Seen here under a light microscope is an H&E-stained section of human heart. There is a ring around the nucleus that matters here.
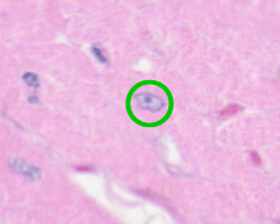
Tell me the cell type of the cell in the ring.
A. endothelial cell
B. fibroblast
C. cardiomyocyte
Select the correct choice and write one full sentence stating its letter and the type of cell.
In agreement with option C, the cell in the ring is a cardiomyocyte.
